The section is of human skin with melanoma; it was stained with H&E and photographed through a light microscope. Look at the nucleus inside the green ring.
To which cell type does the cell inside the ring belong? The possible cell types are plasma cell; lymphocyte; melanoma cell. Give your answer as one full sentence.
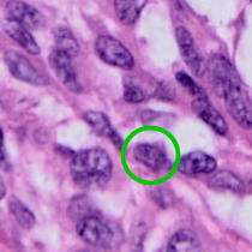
In the context of this tissue, the cell inside the ring is a melanoma cell.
